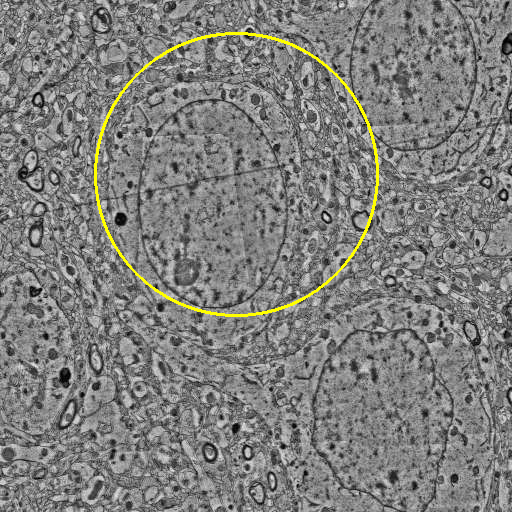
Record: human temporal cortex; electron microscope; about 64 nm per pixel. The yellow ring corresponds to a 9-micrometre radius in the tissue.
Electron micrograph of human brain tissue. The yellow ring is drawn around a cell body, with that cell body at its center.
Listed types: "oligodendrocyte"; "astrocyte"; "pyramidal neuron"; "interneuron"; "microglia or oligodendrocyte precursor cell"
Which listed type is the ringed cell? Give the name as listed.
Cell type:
pyramidal neuron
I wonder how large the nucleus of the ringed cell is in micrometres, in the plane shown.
Approximately 13 x 10 micrometres in this plane.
